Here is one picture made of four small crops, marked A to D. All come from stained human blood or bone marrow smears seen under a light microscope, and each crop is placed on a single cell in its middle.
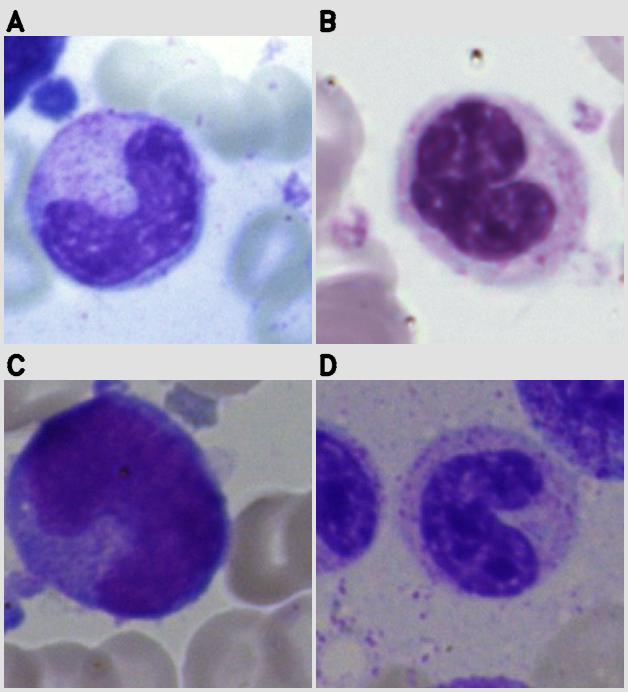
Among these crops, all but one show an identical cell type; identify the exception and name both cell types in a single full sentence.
The pattern of band neutrophils across the crops is broken only by crop C, which shows a monocyte.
